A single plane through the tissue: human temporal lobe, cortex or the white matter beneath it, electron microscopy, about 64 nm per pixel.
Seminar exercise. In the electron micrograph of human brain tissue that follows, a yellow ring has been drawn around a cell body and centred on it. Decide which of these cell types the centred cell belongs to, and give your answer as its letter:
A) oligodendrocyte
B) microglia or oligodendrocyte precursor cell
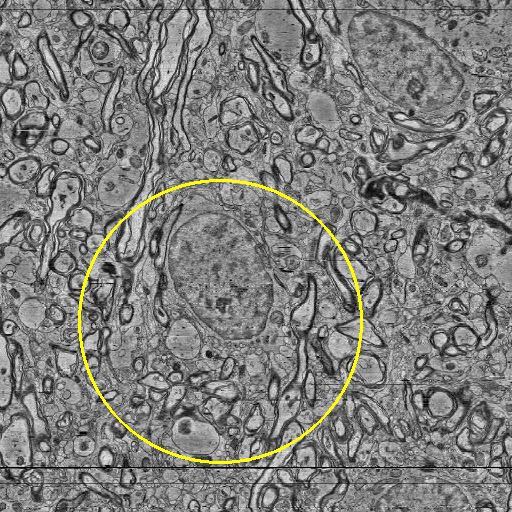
A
